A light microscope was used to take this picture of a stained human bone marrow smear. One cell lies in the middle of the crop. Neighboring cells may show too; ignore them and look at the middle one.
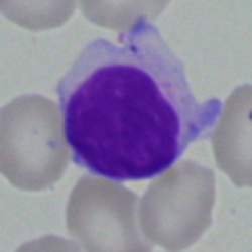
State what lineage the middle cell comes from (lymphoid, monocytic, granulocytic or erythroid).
lymphoid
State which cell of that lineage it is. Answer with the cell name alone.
lymphocyte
